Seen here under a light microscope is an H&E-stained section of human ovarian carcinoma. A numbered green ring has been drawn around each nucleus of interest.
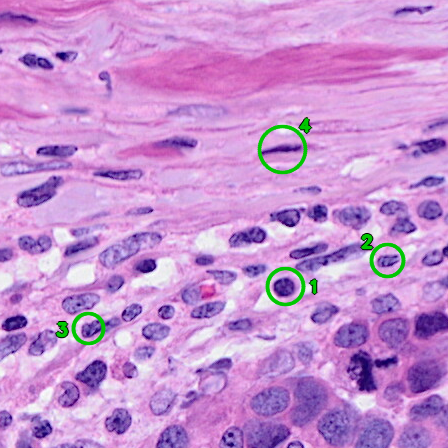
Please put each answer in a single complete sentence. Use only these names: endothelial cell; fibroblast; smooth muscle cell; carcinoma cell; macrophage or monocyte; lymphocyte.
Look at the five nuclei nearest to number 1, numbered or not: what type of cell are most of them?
Most of the five nuclei nearest to number 1 are those of macrophages or monocytes.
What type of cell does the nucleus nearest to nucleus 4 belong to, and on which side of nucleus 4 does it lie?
The nearest one is a macrophage or monocyte, found below and to the right of nucleus 4.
